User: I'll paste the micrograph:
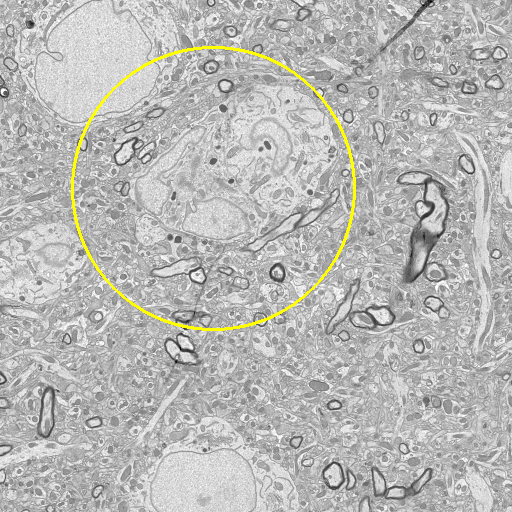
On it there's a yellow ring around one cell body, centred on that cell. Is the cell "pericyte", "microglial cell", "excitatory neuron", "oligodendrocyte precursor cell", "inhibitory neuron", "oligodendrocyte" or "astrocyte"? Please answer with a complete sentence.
The cell ringed in yellow is an oligodendrocyte precursor cell.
